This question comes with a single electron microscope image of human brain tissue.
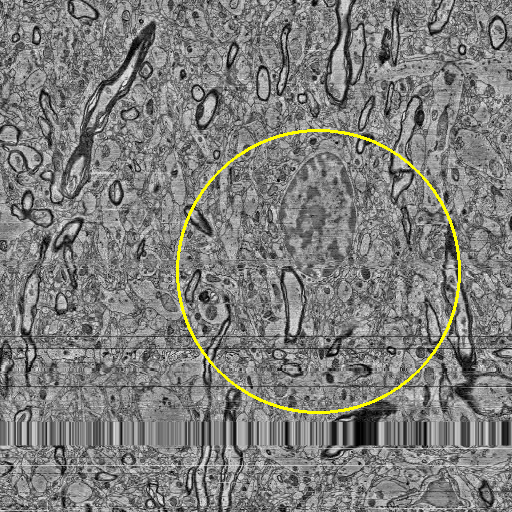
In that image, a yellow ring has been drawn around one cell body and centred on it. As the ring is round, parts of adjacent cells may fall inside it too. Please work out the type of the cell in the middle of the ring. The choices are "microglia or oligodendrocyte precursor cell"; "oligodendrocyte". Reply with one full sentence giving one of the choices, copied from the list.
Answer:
Of the choices, a microglial cell or oligodendrocyte precursor cell is the cell sitting in the middle of the ring.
